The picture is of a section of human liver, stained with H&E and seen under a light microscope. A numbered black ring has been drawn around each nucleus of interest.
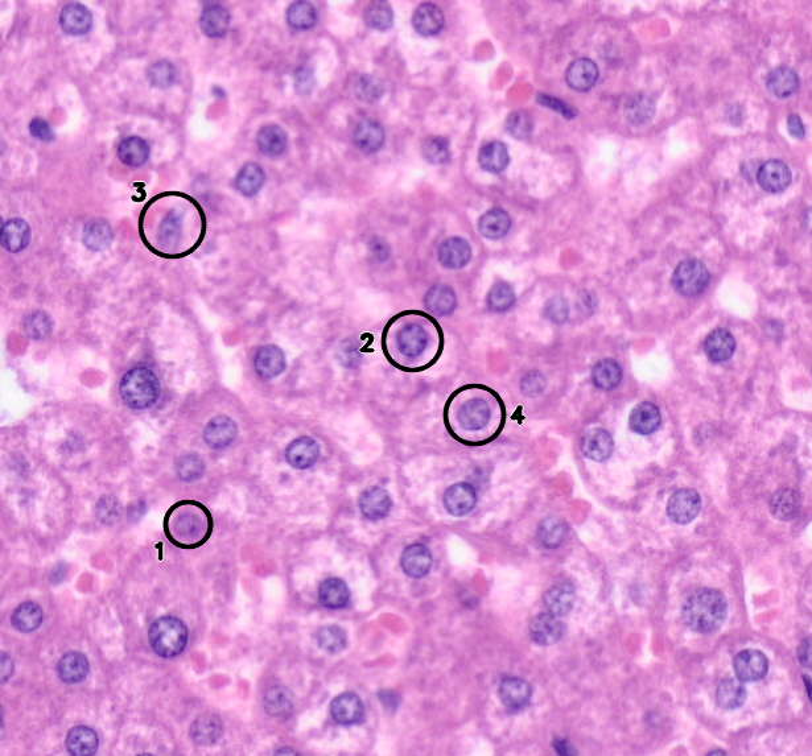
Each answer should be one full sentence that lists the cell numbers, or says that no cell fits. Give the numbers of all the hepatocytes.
In this section, the cells numbered 1, 2 and 4 are hepatocytes.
